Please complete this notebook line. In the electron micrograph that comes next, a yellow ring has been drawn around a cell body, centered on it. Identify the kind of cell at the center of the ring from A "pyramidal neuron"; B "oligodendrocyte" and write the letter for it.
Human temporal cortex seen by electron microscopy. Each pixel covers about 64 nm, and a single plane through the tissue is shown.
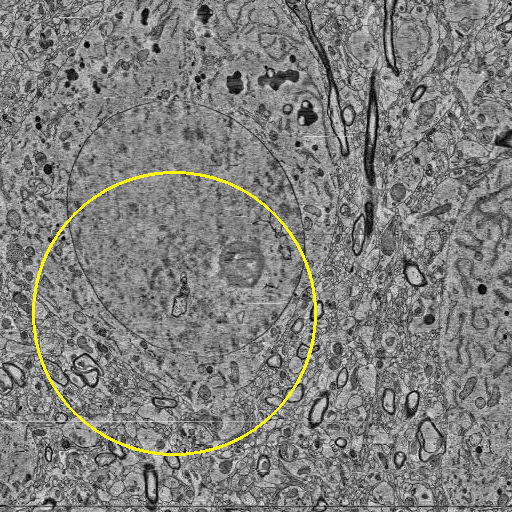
A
